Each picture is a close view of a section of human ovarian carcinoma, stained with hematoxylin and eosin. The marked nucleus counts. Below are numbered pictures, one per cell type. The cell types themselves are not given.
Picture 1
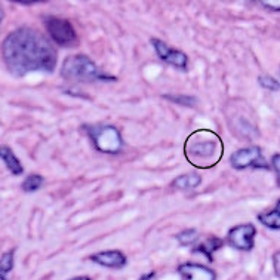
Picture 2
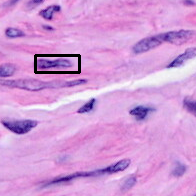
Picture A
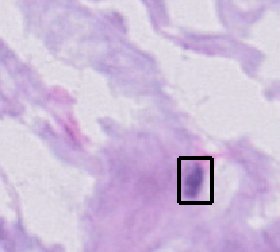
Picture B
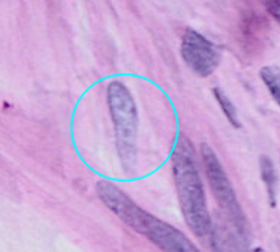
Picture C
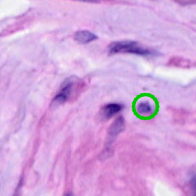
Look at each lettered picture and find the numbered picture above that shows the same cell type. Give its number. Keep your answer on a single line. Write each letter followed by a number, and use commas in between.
A 1, B 2, C 2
